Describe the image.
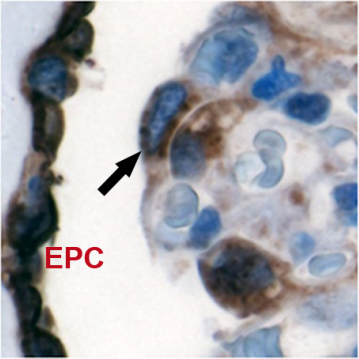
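Enlarged view of the edge of a glomerular tuft facing a clear space, with podocytes on the tuft surface and parietal epithelial cells lining the capsule at left. The parietal epithelial cells form a thin, very darkly stained layer of flattened cells along the capsule.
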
